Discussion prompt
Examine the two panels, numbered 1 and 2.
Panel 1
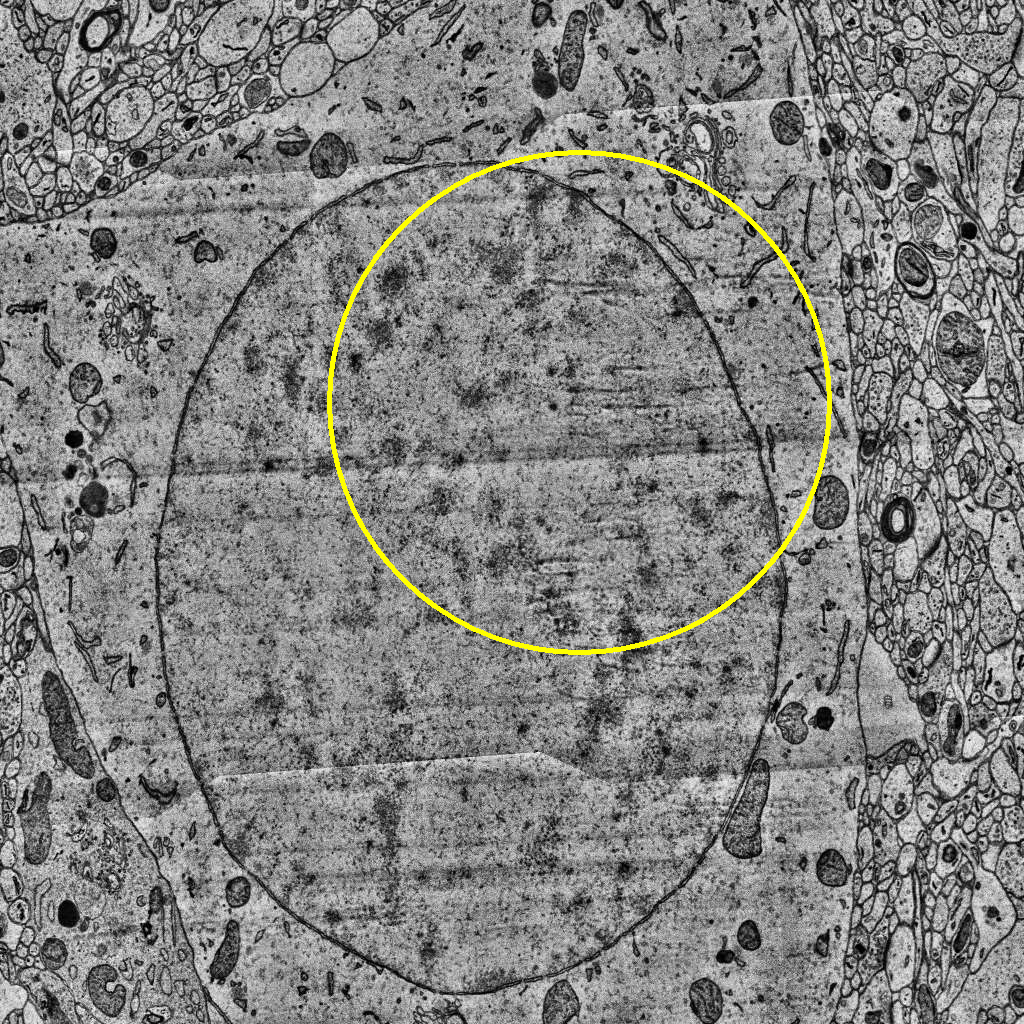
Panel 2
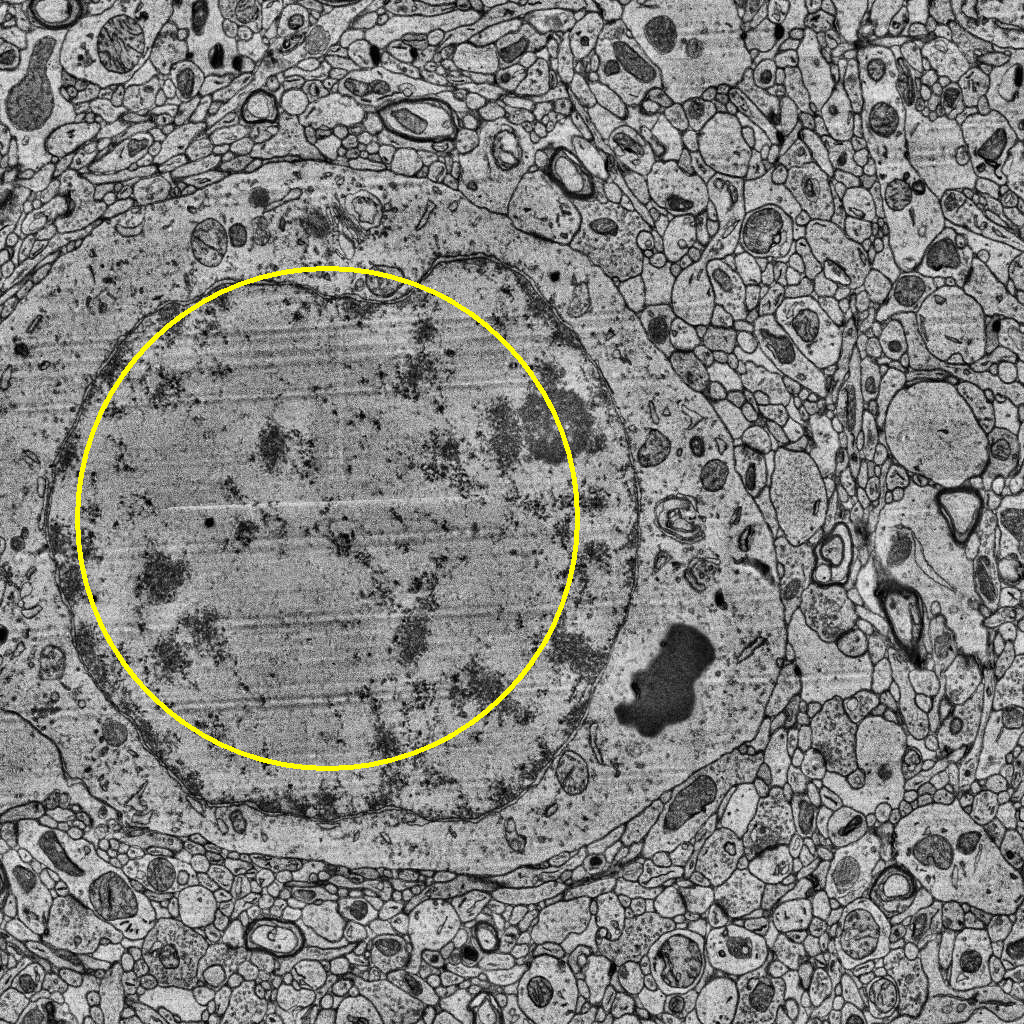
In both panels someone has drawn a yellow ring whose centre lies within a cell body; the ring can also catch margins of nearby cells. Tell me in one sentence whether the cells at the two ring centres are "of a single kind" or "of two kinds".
Taken together, the two cells at the ring centres of Panels 1 and 2 are of two kinds.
